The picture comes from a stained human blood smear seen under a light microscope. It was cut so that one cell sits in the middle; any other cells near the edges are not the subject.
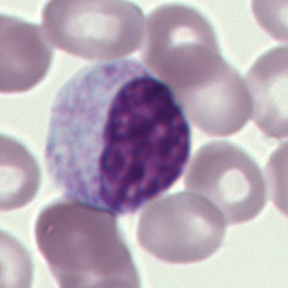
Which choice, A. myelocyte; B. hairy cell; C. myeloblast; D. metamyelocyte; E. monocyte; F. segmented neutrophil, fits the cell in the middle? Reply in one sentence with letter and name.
Option D is correct here, and the cell in the middle is a metamyelocyte.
